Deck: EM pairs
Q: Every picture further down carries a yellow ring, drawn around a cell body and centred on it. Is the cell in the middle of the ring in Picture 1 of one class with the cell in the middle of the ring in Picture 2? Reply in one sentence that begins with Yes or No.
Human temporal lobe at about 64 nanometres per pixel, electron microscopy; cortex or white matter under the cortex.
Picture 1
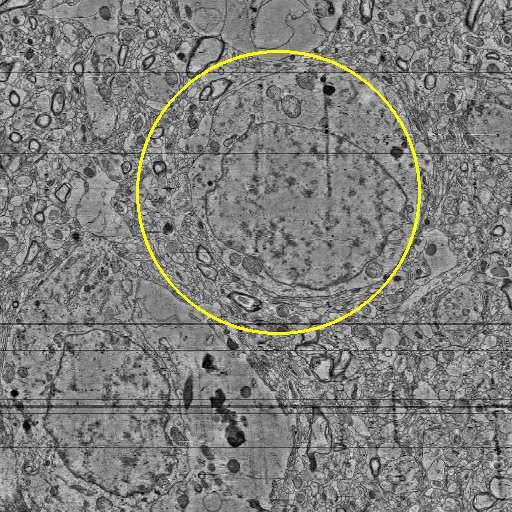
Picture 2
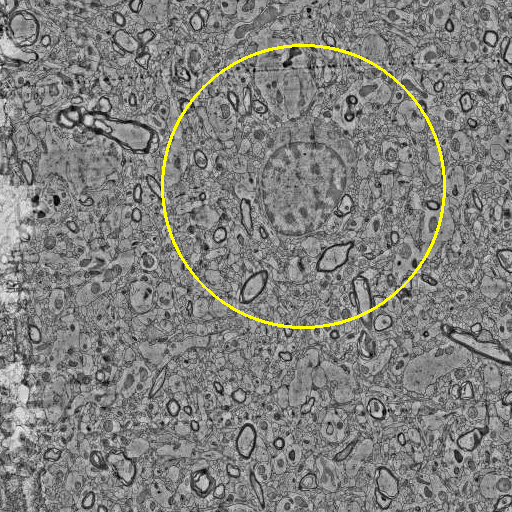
No, the cell centred in the ring of Picture 1 and the one in Picture 2 belong to separate classes.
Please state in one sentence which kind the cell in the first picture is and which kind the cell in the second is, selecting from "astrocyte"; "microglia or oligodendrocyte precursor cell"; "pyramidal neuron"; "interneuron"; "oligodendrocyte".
The first ringed cell is a pyramidal neuron, the second ringed cell an oligodendrocyte.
